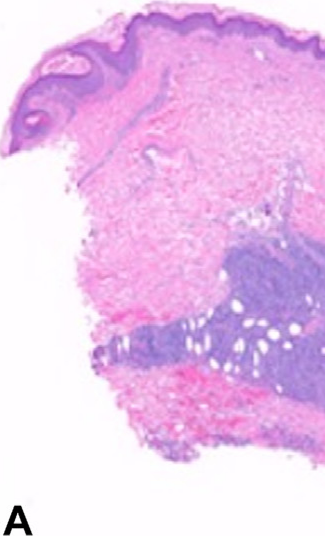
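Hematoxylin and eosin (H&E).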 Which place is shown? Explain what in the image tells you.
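The dark infiltrate lies among round clear fat vacuoles beneath the pink dermal collagen. On this evidence: subcutaneous tissue.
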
